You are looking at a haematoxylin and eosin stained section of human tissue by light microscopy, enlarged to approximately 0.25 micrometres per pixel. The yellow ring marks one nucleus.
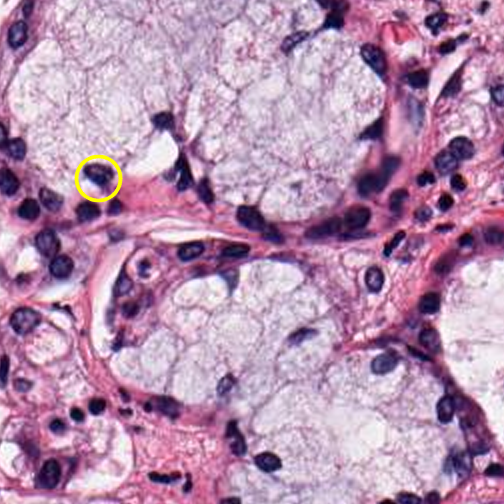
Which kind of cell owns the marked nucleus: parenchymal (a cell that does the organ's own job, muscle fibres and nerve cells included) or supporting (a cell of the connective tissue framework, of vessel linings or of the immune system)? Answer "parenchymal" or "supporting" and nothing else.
parenchymal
